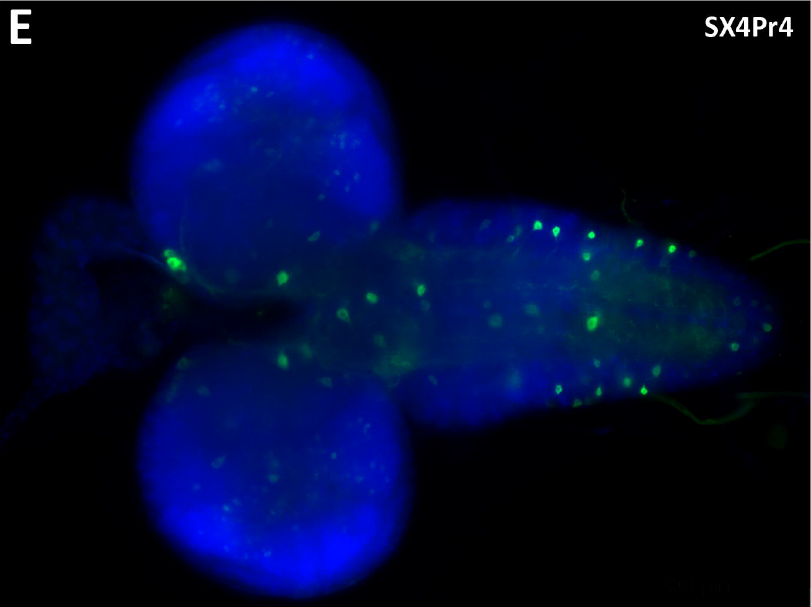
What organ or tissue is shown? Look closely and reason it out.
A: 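Two large round lobes sit side by side at one end. A tapering elongated cord extends from between the lobes. The answer: larval brains.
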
